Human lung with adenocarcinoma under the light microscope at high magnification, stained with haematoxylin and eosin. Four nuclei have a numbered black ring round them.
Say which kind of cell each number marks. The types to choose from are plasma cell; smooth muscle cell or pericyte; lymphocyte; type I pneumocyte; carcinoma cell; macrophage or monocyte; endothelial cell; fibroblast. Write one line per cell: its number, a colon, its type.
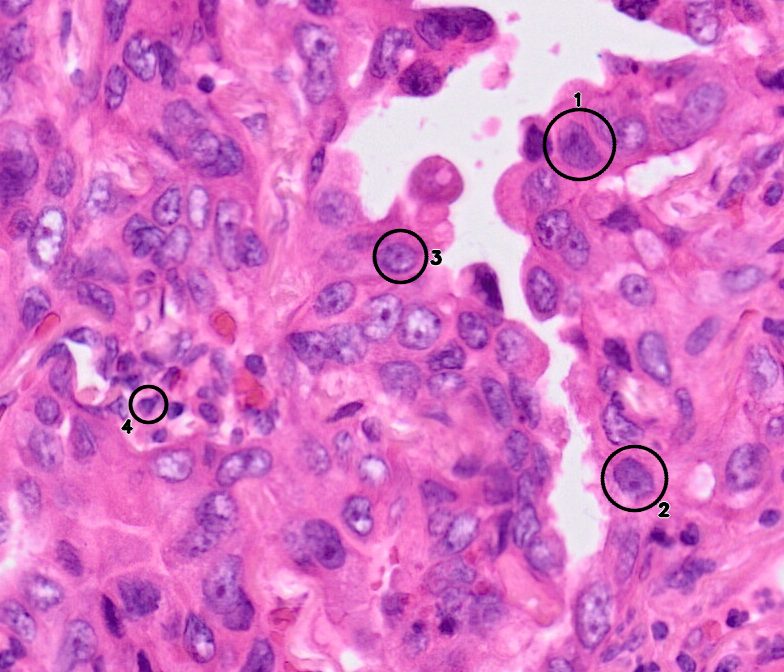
1: carcinoma cell
2: carcinoma cell
3: carcinoma cell
4: lymphocyte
